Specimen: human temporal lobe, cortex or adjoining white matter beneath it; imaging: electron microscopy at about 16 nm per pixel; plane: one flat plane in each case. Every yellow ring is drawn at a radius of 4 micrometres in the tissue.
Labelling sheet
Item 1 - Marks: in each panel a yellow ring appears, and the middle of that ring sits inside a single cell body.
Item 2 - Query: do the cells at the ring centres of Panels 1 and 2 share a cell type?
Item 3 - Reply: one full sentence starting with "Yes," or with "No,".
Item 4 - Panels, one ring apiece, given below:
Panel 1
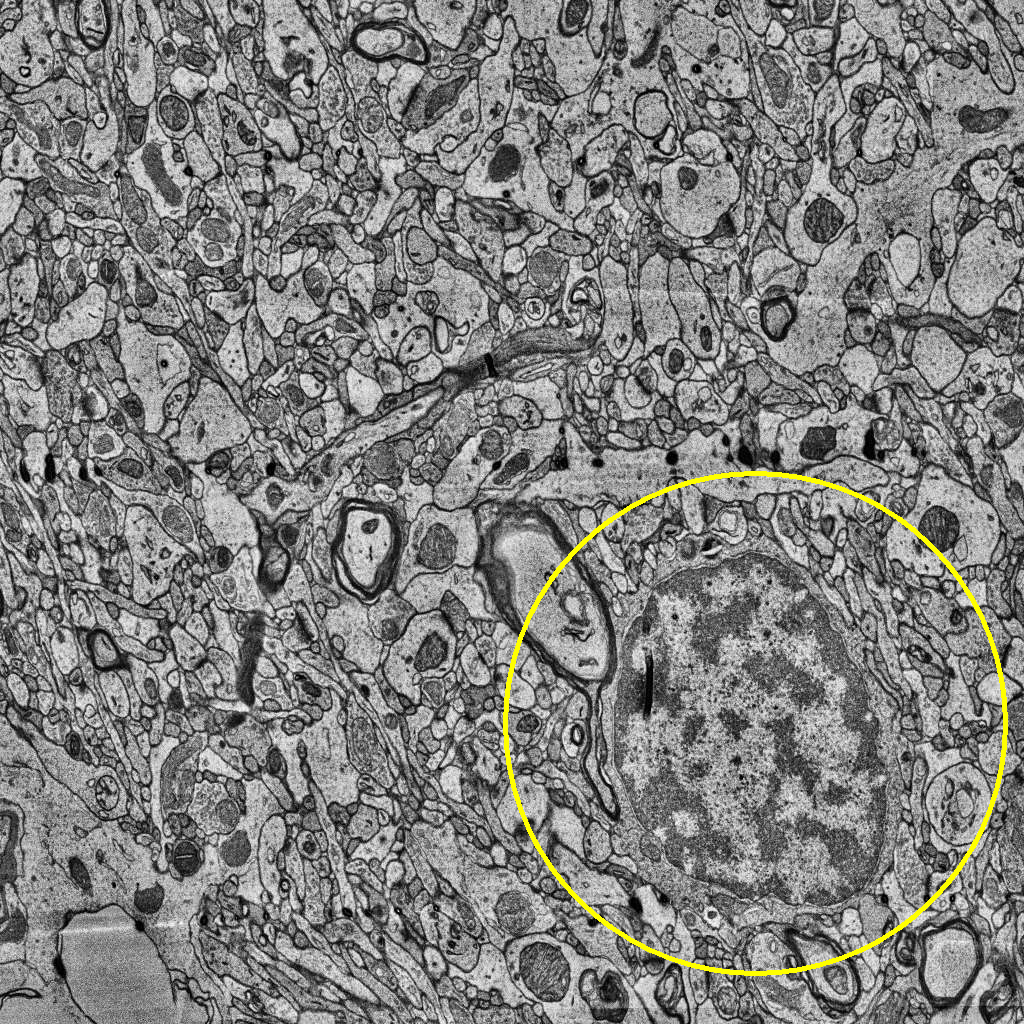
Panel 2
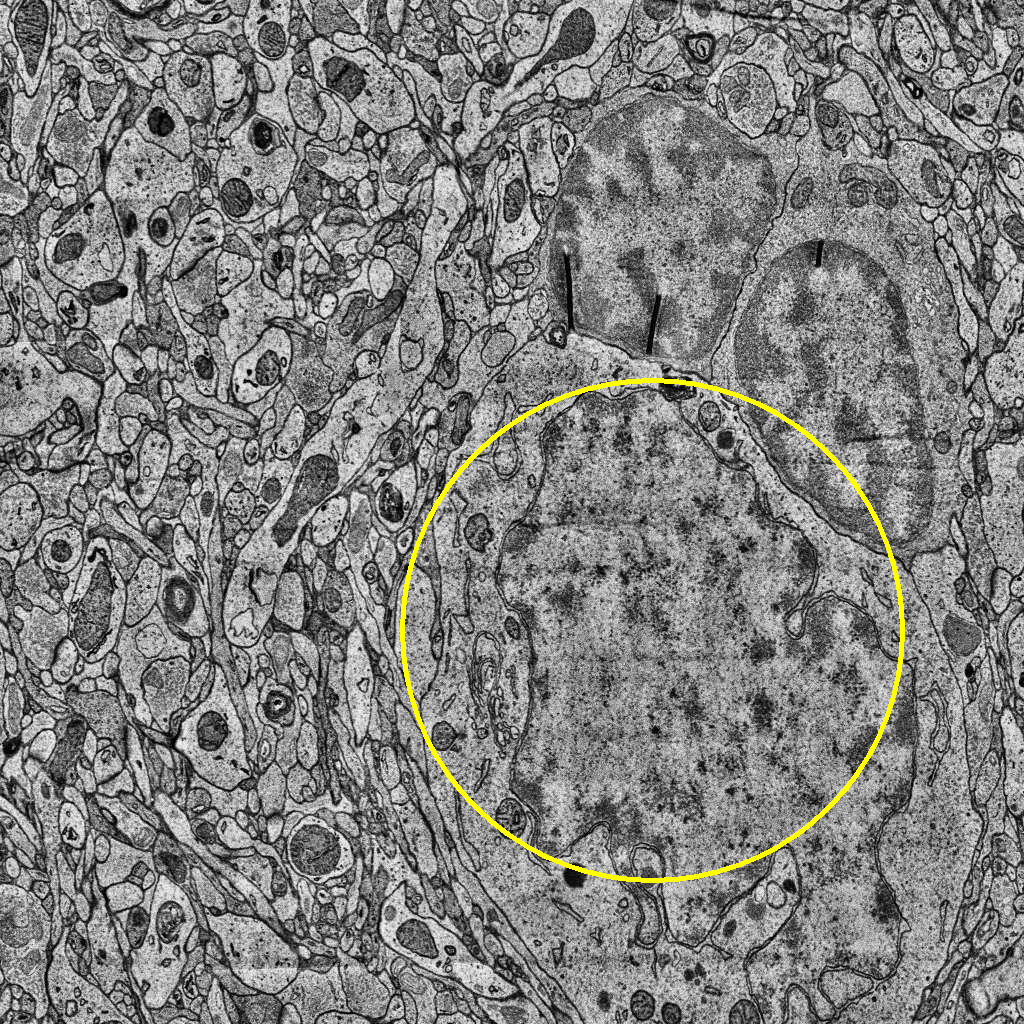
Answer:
No, Panel 1 and Panel 2 show two cell types at the centres of their rings.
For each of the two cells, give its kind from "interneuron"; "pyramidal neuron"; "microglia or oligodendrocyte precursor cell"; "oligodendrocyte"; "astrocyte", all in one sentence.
The second picture holds an interneuron in its ring, and the first holds an oligodendrocyte.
